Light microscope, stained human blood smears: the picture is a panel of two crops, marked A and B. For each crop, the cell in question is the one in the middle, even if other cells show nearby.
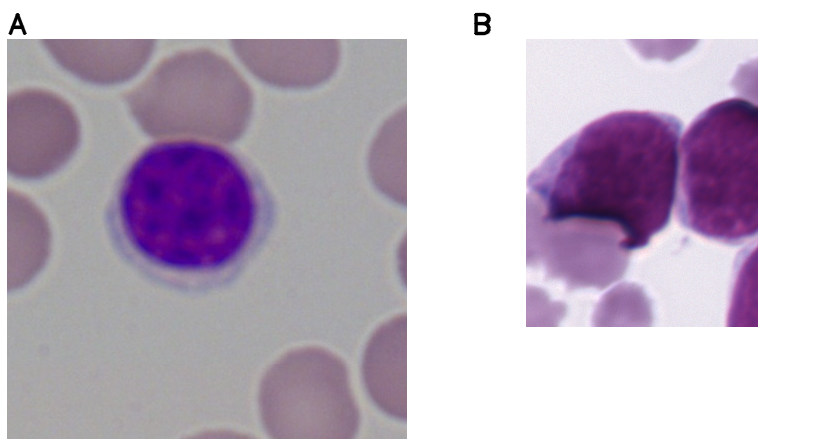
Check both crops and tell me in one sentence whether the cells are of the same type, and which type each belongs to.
No, mark crop A as a lymphocyte and crop B as a blast.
